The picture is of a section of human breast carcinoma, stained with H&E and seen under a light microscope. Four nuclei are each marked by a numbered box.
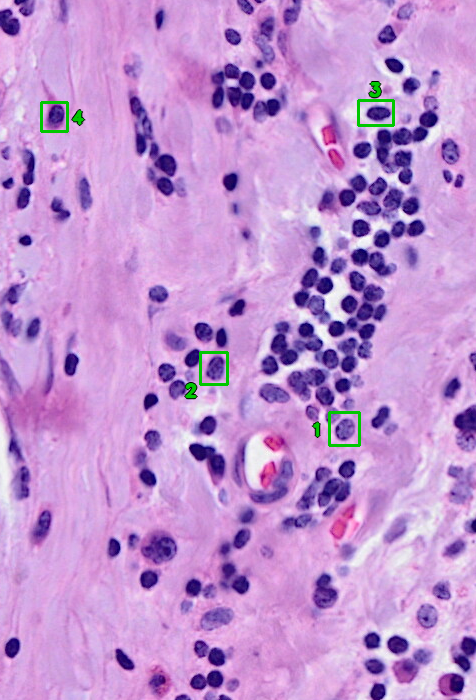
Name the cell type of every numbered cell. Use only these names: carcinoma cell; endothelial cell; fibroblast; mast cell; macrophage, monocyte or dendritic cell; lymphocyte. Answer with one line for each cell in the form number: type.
1: lymphocyte
2: lymphocyte
3: lymphocyte
4: mast cell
